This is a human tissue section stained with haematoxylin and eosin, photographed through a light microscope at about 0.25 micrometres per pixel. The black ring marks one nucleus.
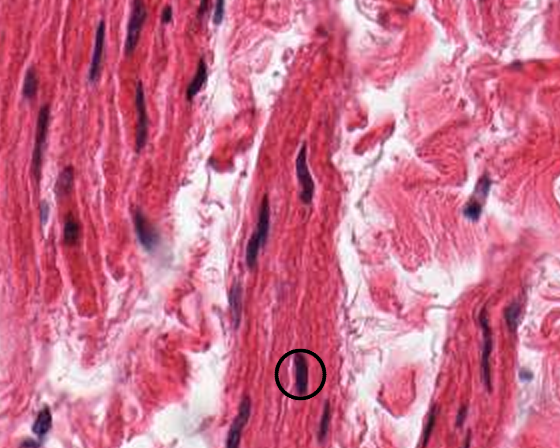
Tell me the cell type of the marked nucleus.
smooth muscle cell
